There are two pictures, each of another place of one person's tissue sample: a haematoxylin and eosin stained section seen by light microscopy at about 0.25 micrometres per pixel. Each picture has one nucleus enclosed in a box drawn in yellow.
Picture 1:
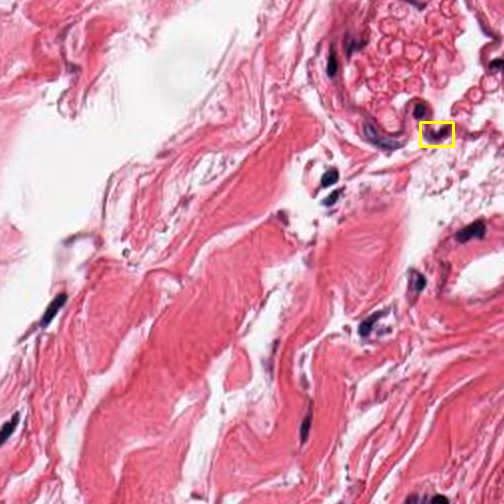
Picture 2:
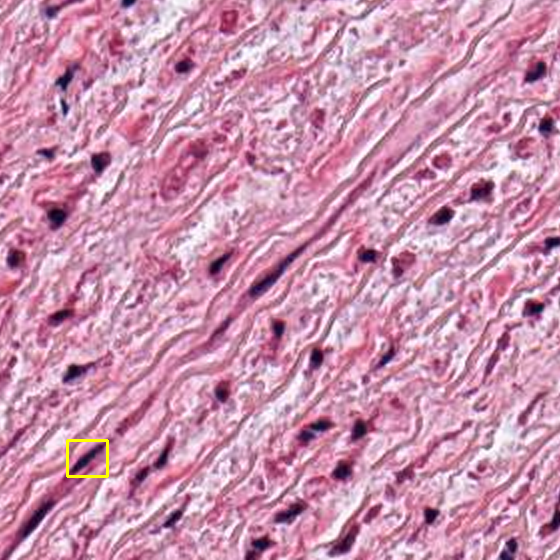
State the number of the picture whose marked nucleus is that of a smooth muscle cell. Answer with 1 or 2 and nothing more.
2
